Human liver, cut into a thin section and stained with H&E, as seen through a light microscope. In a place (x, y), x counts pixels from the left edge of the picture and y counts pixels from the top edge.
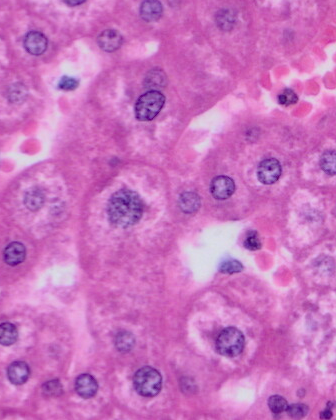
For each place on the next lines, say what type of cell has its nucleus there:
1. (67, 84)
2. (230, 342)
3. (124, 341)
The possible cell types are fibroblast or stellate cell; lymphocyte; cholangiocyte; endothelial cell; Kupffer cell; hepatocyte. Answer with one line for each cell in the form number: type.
1: lymphocyte
2: hepatocyte
3: hepatocyte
